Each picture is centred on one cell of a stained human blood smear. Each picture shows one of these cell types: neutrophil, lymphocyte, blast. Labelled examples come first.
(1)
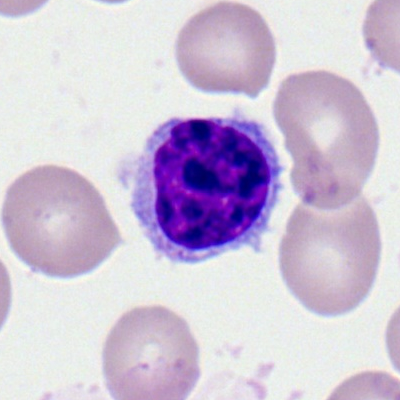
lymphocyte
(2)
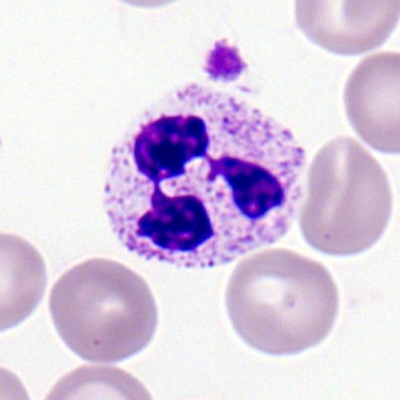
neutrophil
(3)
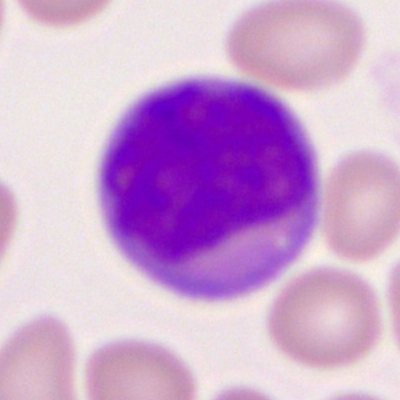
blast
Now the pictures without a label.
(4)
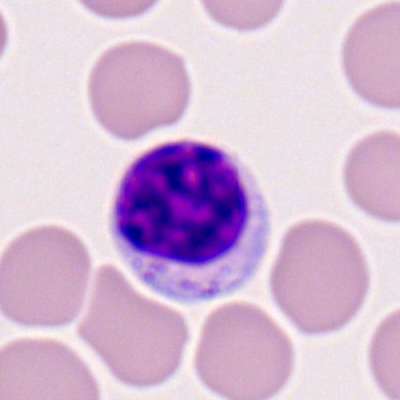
lymphocyte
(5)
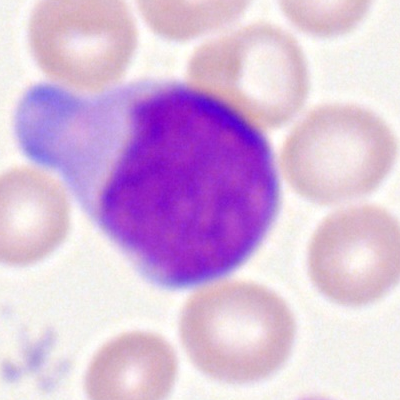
blast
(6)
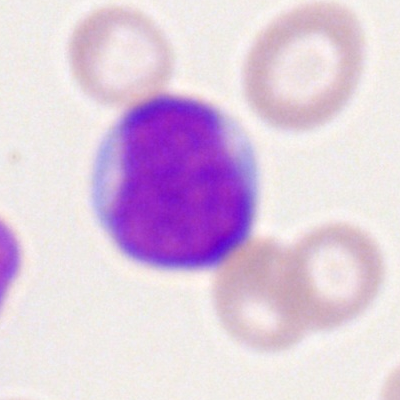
blast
